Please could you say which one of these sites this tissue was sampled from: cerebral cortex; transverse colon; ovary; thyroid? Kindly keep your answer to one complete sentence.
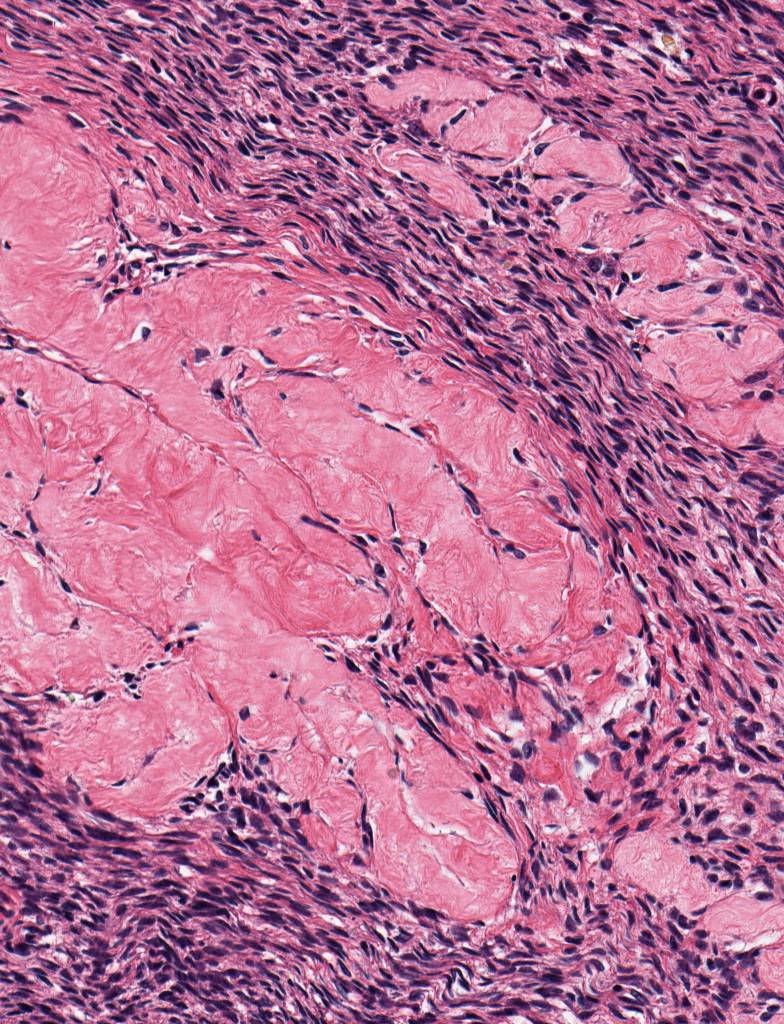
Sampled from the ovary is the tissue in this section.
